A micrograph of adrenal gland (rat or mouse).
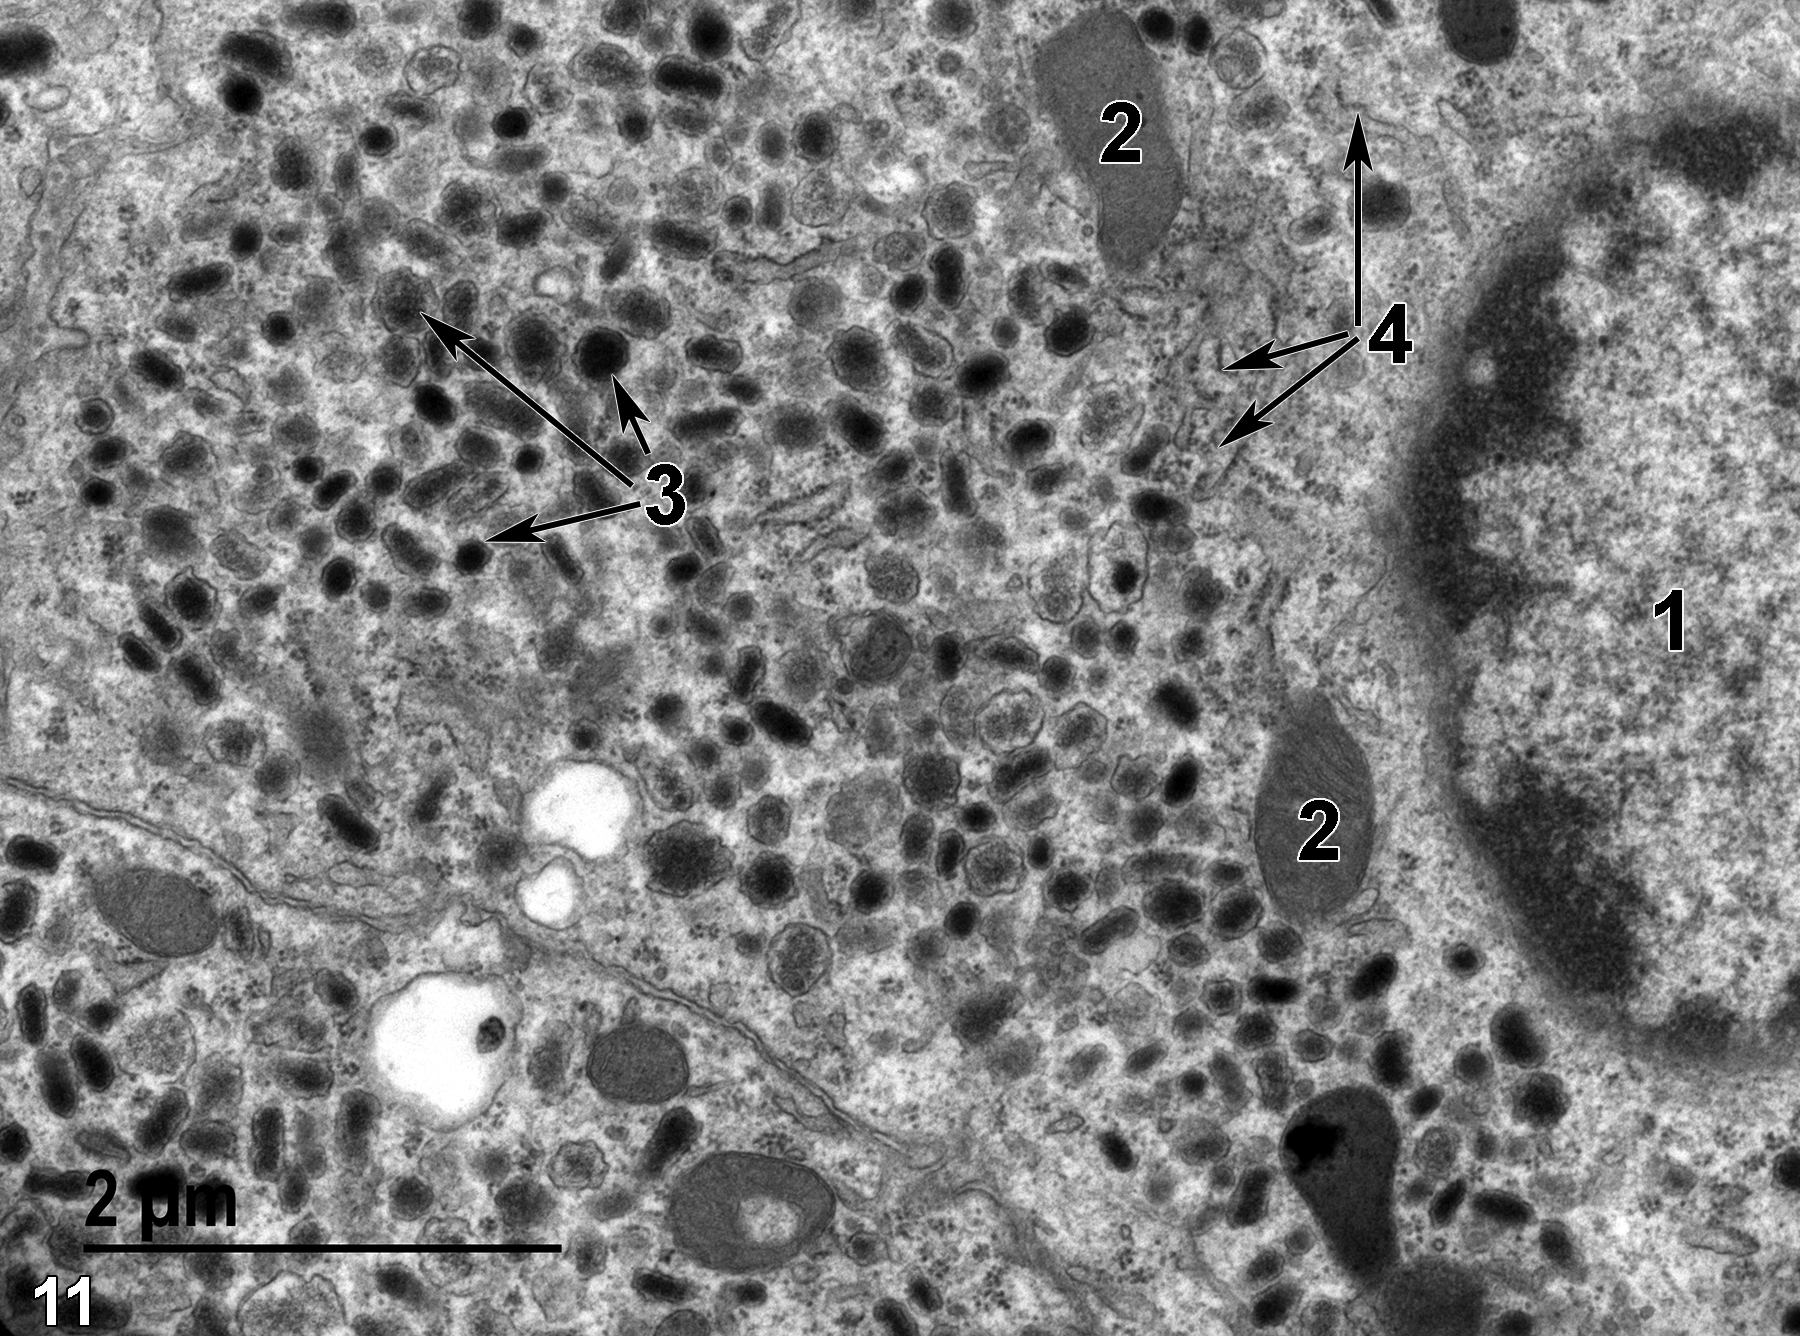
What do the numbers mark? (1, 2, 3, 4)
1. nucleus
2. mitochondria
3. secretory granules
4. rough endoplasmic reticulum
